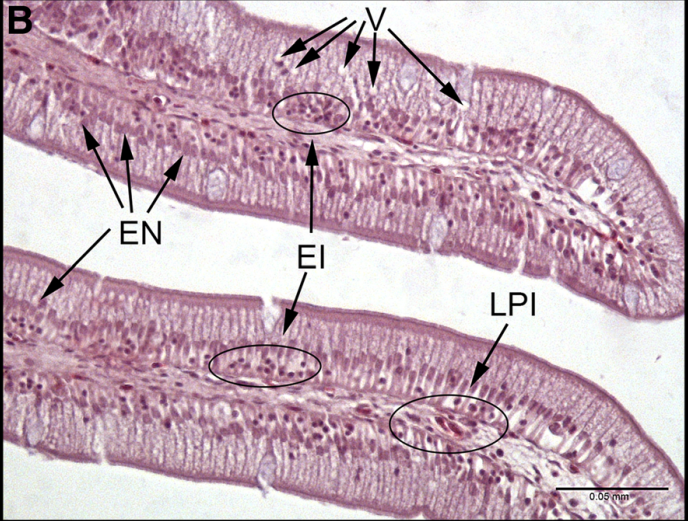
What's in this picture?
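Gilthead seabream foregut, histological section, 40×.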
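Two intestinal villi are shown, each covered by a tall columnar epithelium of enterocytes around a thin connective tissue core of lamina propria. The enterocyte nuclei are elongated and mostly lie in the basal part of the cells, with pale vacuolated cytoplasm above them, and scattered pale bluish goblet cells sit among the columnar cells. Small dark round nuclei of infiltrating cells cluster at the base of the epithelium and within the core.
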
